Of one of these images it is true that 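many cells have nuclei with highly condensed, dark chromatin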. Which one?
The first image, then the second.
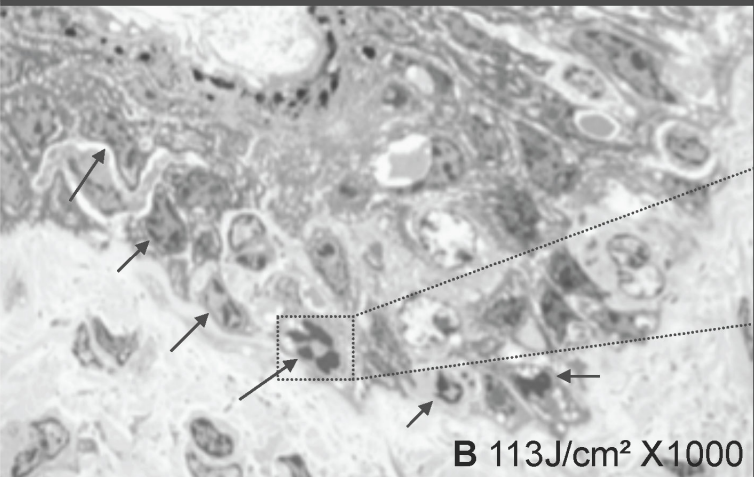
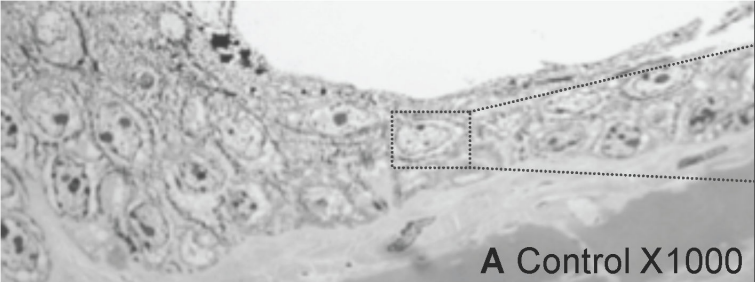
The first image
